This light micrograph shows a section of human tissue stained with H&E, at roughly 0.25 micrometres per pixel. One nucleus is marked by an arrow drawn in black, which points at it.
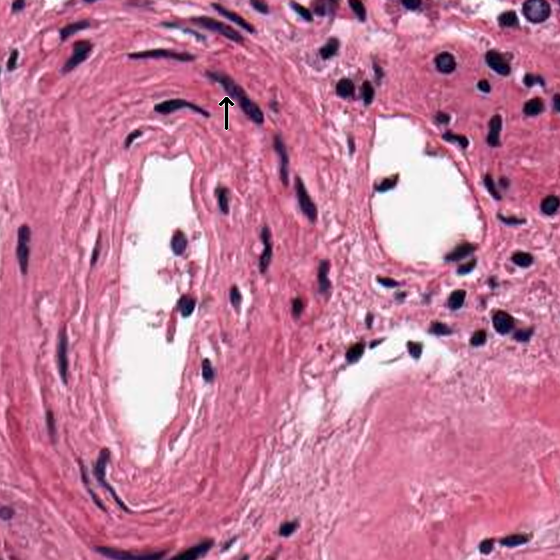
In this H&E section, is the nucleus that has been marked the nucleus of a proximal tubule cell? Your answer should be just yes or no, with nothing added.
no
